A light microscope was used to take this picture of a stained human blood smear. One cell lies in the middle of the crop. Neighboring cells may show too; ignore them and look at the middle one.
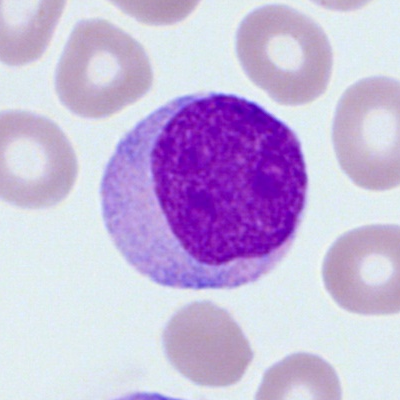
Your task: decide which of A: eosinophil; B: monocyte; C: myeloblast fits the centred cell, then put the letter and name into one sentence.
The cell in the center of this crop is a myeloblast, so option C is the one to pick.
